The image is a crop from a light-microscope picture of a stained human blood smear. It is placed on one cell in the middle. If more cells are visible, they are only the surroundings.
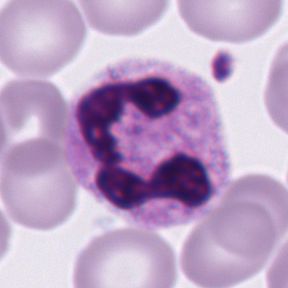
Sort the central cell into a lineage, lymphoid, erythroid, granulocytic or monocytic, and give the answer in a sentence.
The middle cell is a constituent of the granulocytic lineage.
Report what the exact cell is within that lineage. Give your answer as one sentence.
The target cell in the middle of the crop is a segmented neutrophil.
